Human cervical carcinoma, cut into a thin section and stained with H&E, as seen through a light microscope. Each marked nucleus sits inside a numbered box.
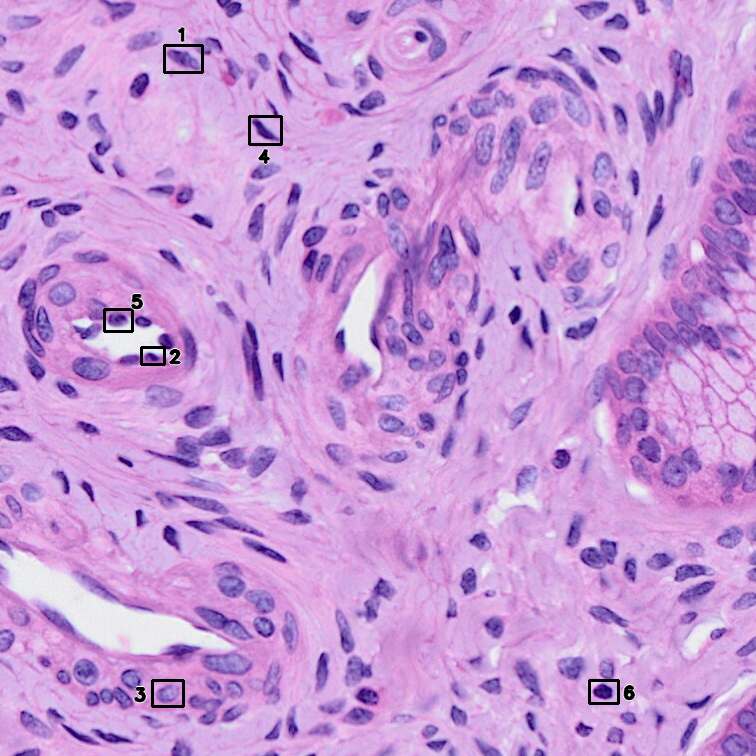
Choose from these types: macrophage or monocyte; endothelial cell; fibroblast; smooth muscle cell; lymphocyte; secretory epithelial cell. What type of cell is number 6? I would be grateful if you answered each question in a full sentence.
Cell number 6 in this section is a lymphocyte.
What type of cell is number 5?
The marked cell with the number 5 is recognised as an endothelial cell.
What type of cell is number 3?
Cell number 3 in this section is a smooth muscle cell.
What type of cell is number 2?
Recognised here as an endothelial cell is the cell numbered 2.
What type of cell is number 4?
Numbered cell 4 is a fibroblast in this tissue section.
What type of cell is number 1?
The cell indicated by marker 1 is a fibroblast in this section.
